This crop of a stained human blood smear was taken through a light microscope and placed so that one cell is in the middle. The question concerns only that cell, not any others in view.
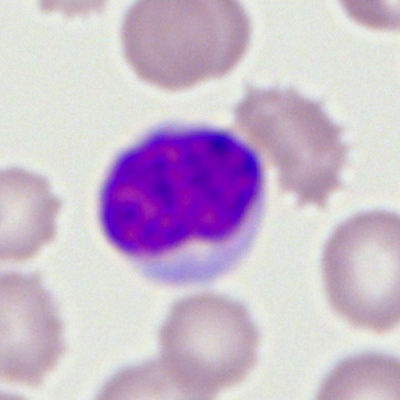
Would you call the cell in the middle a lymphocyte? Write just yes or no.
yes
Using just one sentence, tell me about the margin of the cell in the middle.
No surface projections are present; the cell outline is smooth.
